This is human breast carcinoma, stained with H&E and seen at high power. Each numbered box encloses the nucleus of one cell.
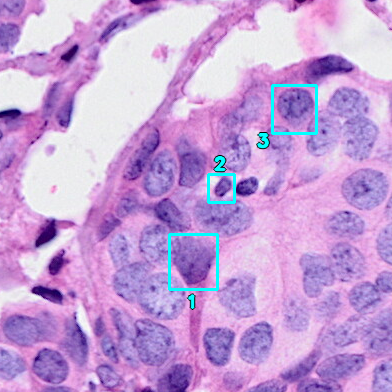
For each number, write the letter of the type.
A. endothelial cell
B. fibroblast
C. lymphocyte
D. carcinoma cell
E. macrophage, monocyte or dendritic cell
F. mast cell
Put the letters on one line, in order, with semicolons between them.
D; C; D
